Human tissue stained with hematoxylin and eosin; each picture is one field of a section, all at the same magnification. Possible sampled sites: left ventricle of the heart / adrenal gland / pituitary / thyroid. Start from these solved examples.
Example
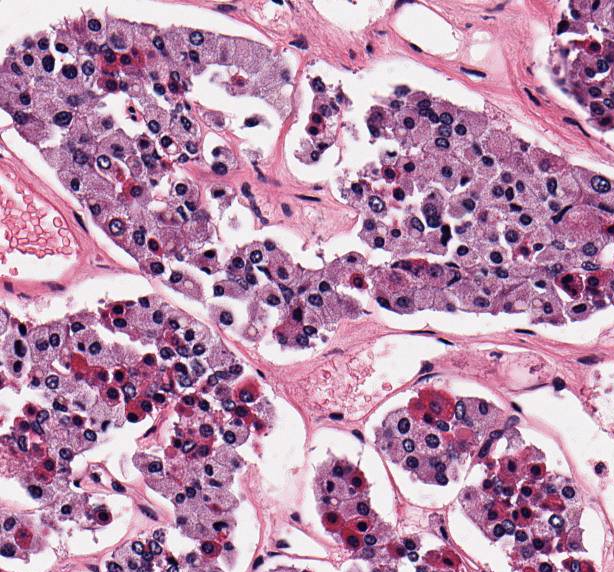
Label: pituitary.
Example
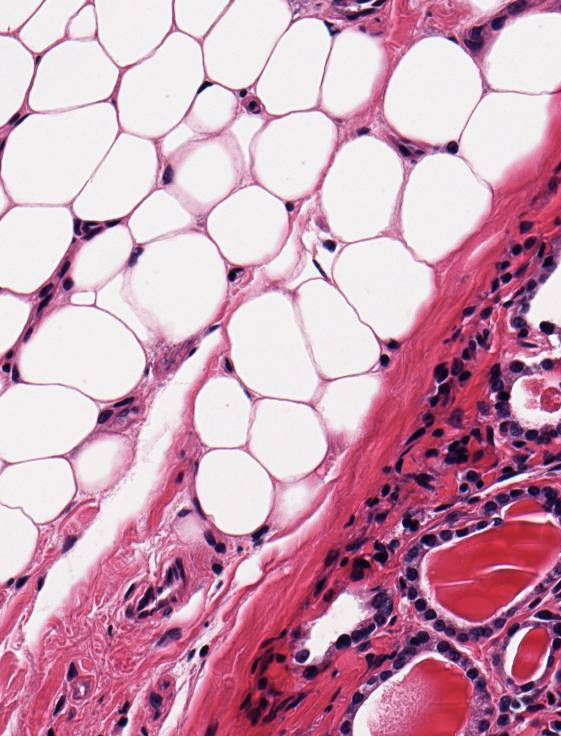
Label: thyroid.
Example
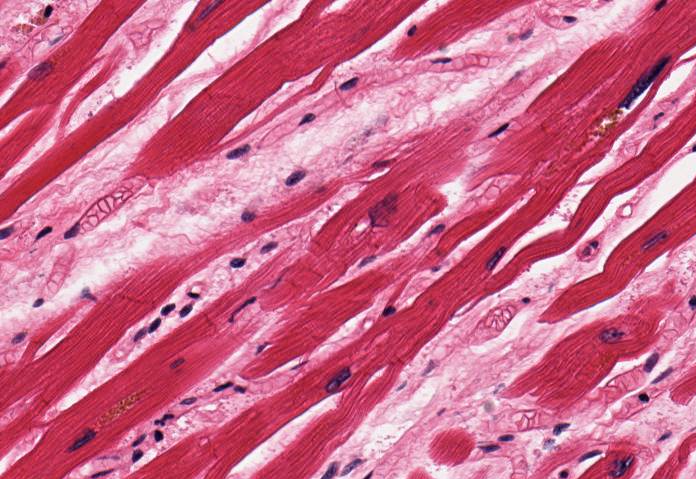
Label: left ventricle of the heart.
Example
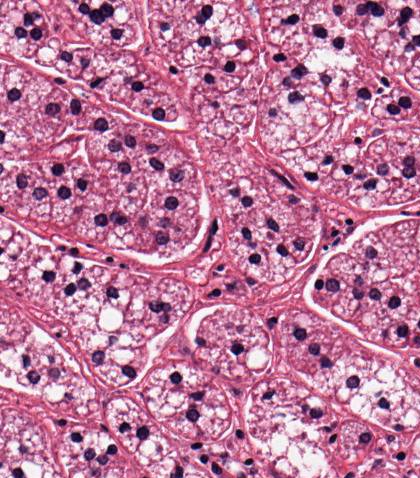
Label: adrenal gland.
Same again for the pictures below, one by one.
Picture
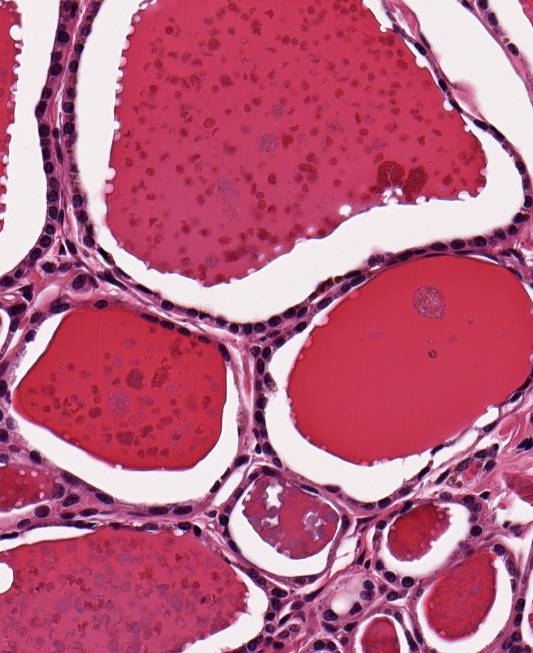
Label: thyroid.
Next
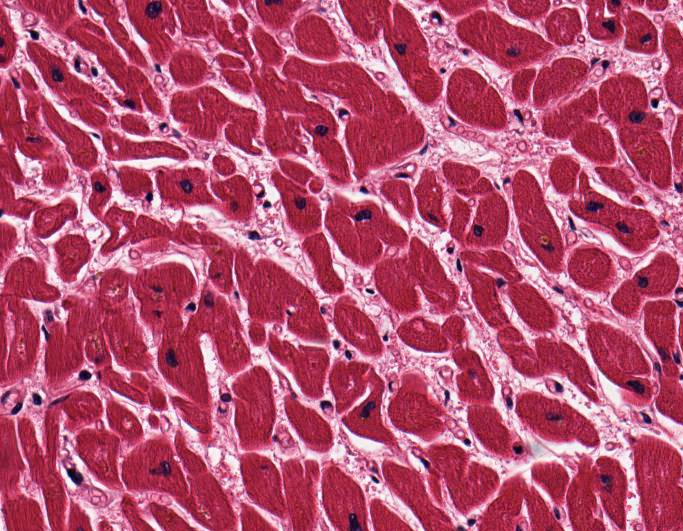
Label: left ventricle of the heart.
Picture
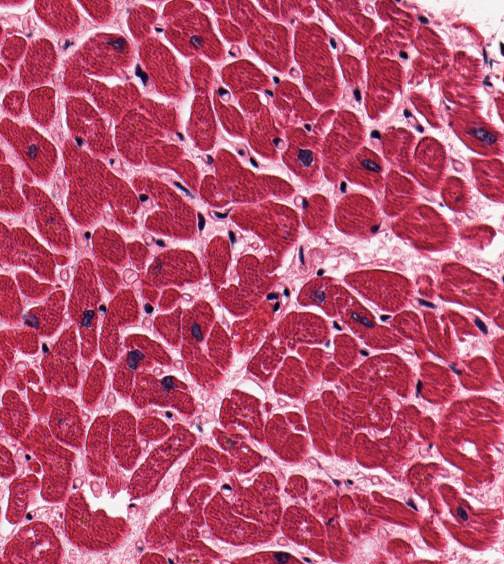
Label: left ventricle of the heart.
